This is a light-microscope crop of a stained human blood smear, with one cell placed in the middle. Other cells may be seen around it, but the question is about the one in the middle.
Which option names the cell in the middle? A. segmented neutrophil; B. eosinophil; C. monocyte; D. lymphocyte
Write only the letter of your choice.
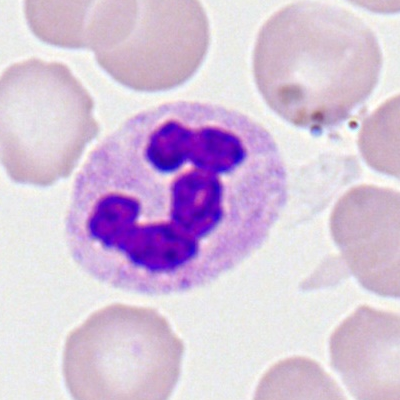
A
